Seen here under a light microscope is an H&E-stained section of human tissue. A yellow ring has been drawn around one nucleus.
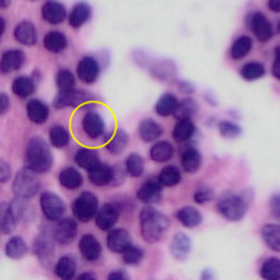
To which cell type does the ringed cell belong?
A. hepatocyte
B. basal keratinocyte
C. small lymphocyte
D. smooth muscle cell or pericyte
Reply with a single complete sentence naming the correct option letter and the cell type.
According to option C, the ringed cell is a small lymphocyte, and this is correct.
